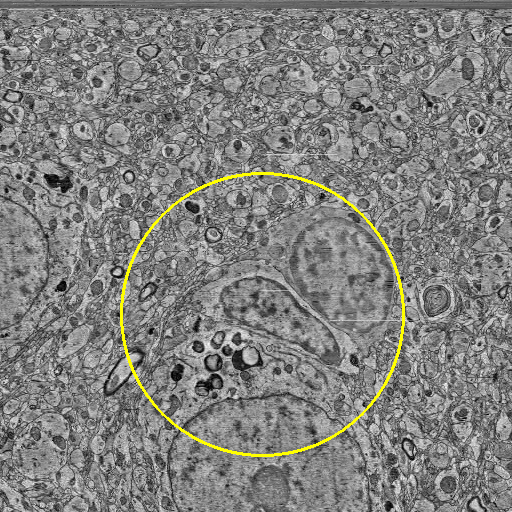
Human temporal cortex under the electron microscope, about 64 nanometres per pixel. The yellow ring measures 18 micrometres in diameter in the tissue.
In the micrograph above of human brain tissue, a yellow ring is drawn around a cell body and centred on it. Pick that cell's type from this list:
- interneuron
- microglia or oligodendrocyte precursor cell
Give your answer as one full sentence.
Going by the list, a microglial cell or oligodendrocyte precursor cell is the cell on which the yellow ring is centred.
